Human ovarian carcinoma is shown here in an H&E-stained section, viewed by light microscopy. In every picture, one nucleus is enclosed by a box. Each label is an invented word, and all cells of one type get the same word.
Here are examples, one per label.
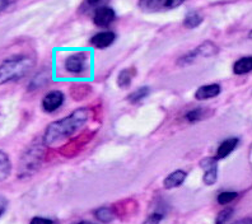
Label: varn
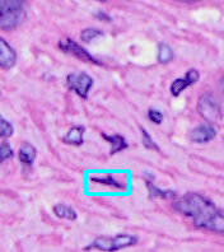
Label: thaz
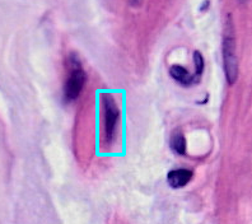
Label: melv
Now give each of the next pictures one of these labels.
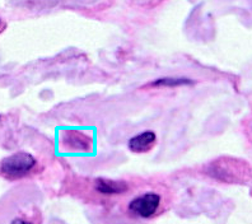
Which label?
thaz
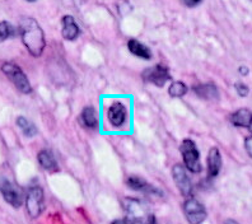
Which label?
varn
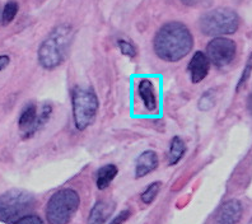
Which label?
varn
